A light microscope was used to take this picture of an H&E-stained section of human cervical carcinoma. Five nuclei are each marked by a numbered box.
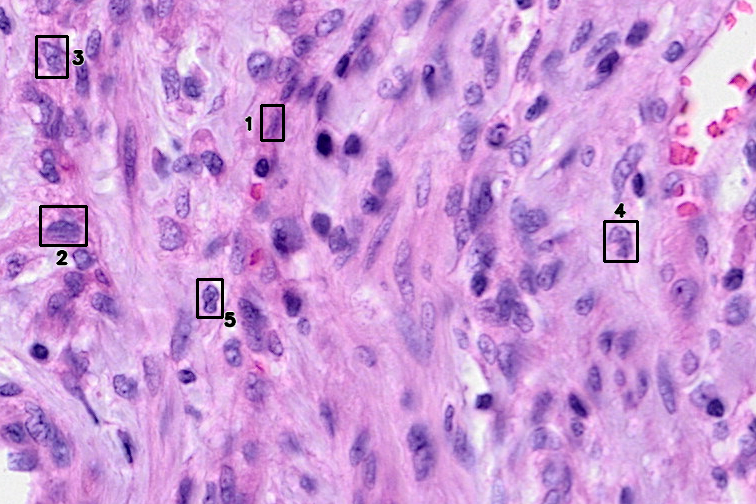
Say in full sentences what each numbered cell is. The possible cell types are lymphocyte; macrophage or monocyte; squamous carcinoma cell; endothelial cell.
Cell 1 is an endothelial cell, cell 2 is an endothelial cell, cell 3 is an endothelial cell, cell 4 is a macrophage or monocyte and cell 5 is a lymphocyte.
